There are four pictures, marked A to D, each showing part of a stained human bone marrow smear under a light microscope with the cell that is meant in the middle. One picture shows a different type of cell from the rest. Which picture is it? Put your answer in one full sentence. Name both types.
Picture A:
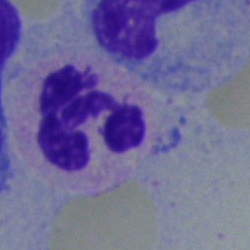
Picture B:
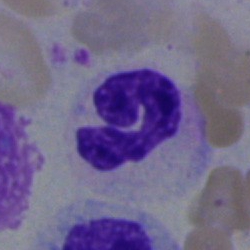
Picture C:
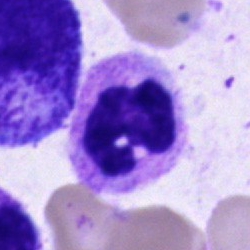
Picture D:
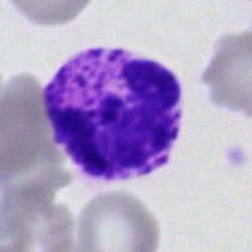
Picture D differs, because its cell is a basophil and the rest are segmented neutrophils.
